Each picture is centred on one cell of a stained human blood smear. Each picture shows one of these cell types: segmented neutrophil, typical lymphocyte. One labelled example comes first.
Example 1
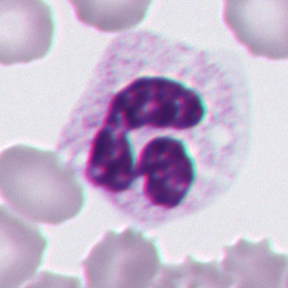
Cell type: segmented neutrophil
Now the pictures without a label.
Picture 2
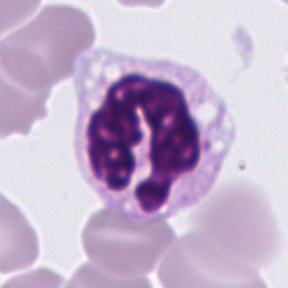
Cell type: segmented neutrophil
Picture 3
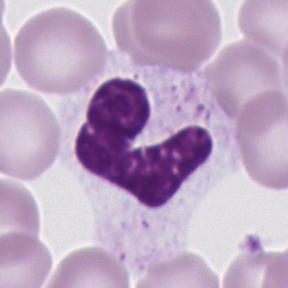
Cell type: segmented neutrophil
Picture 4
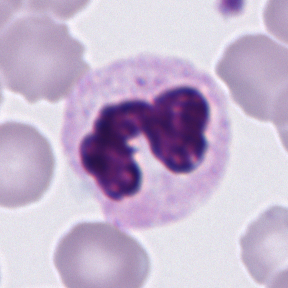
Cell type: segmented neutrophil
